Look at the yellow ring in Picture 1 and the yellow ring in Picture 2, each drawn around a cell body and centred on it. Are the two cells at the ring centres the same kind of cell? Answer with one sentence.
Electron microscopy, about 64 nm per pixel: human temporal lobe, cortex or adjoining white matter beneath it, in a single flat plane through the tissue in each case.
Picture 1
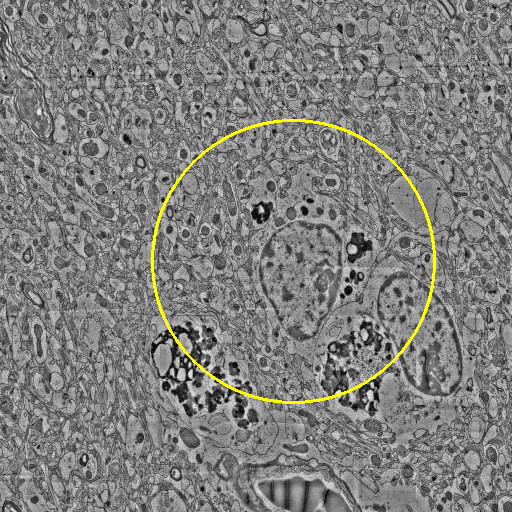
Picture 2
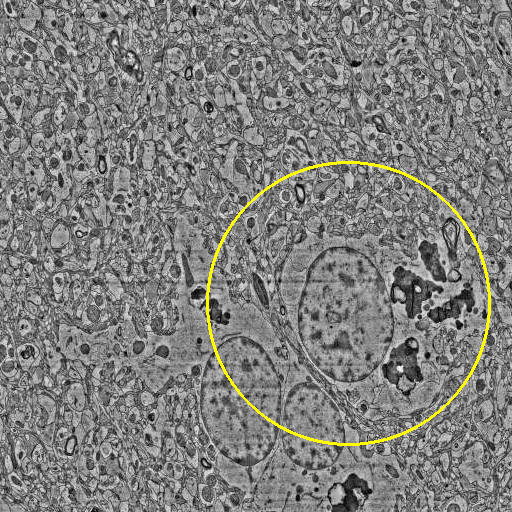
Yes, both are the same kind of cell.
